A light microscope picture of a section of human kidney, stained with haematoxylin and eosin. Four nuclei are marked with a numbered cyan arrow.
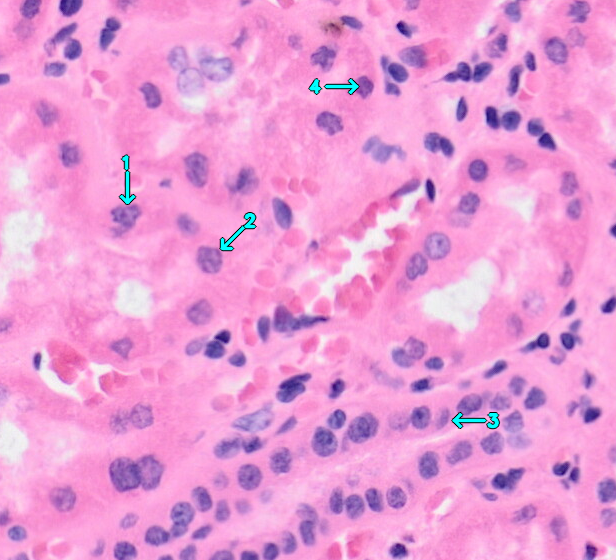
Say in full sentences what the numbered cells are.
Cell 1 is a proximal tubule cell, cell 2 is a proximal tubule cell, cell 3 is a collecting duct cell and cell 4 is a proximal tubule cell.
